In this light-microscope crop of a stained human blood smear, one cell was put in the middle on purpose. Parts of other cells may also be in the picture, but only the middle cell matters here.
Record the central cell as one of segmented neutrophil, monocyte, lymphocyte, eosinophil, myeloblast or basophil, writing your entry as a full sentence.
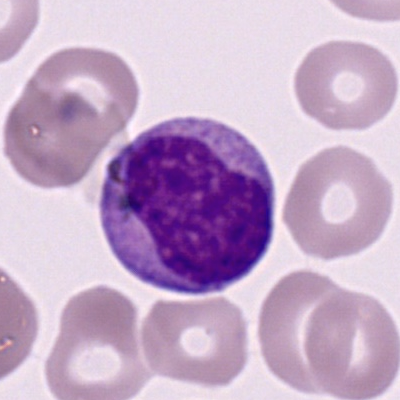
The cell of interest, located centrally, is a myeloblast.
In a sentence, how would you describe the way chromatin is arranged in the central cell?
This nucleus has coarsely clumped chromatin.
